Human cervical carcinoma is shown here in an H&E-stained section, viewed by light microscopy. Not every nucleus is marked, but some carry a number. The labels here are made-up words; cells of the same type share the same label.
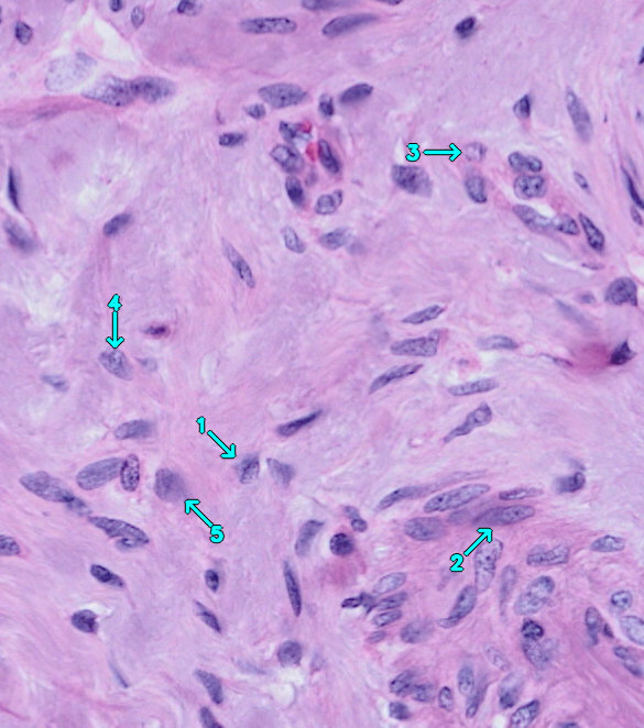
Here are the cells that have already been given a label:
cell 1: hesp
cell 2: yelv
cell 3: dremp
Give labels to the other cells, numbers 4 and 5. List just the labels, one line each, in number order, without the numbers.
hesp
hesp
